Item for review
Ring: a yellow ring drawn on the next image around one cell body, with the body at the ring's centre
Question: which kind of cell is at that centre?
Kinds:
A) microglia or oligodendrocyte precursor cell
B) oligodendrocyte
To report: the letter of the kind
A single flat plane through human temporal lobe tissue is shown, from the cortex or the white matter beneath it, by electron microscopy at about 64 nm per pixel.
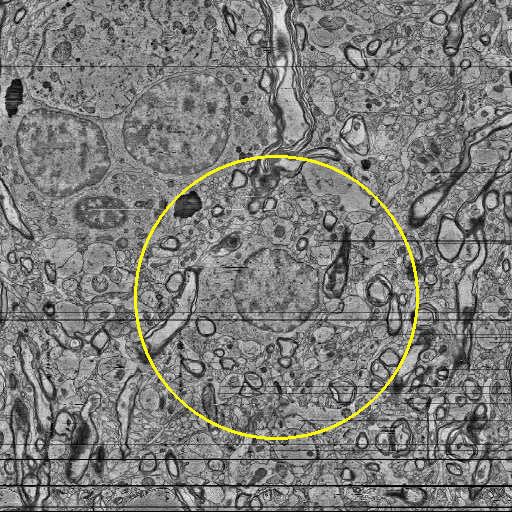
B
